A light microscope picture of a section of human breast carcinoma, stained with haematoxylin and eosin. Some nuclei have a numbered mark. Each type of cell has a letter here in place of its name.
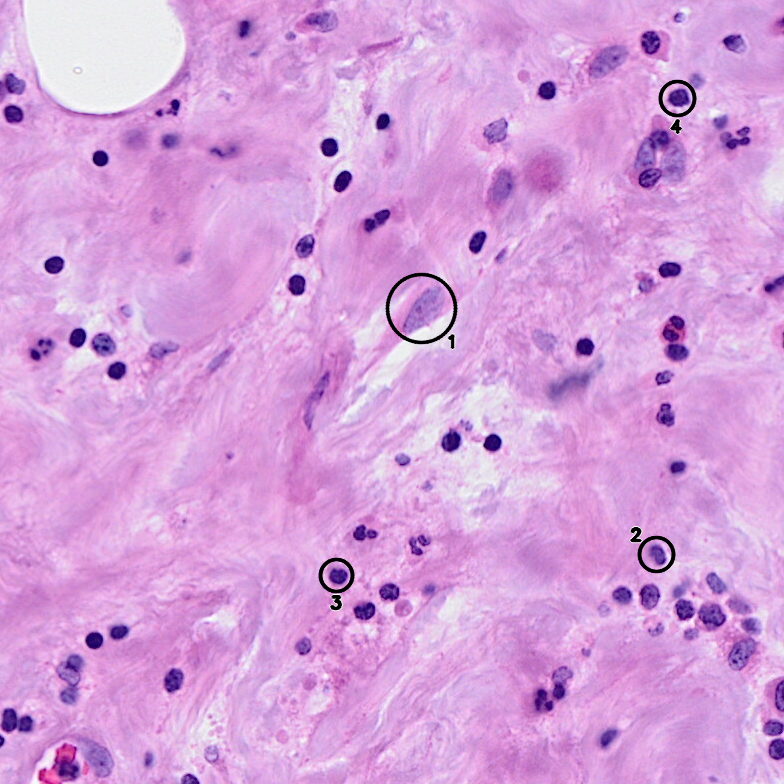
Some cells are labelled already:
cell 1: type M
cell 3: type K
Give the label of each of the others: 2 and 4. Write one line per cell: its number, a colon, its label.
2: type K
4: type K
